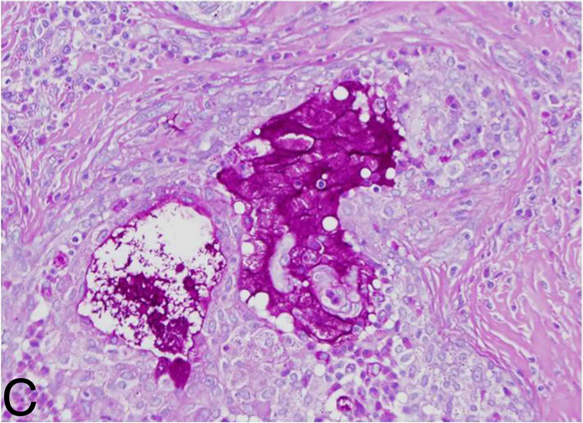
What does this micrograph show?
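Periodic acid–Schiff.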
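This field shows tumor nests with tubular structures whose lumina are filled with strongly magenta mucus. The magenta material is dense and partly vacuolated, with round clear bubbles, and sits inside spaces lined by epithelial tumor cells. Around the tubules the tumor cells have pale cytoplasm and oval nuclei, and the nests are bounded by pale pink fibrous stroma.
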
